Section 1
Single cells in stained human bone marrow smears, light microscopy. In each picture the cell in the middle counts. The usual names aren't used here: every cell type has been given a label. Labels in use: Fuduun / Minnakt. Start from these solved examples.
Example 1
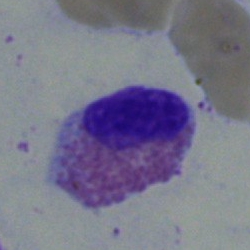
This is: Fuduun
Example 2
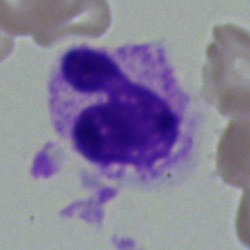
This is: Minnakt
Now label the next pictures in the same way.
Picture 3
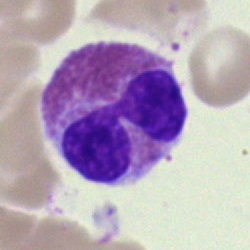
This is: Fuduun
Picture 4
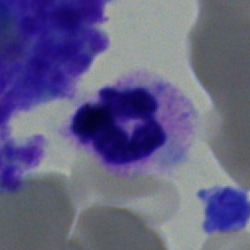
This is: Minnakt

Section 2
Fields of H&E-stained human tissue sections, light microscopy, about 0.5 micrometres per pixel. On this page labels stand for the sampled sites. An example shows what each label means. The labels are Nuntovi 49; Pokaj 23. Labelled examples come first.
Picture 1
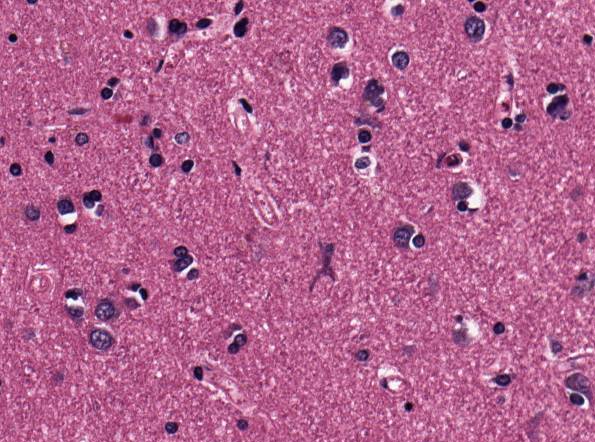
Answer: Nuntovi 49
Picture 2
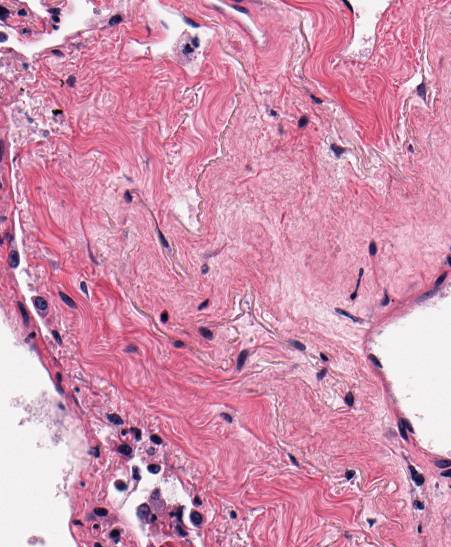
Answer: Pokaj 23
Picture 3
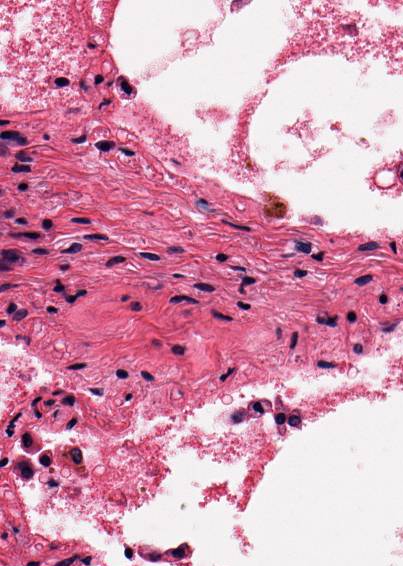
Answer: Pokaj 23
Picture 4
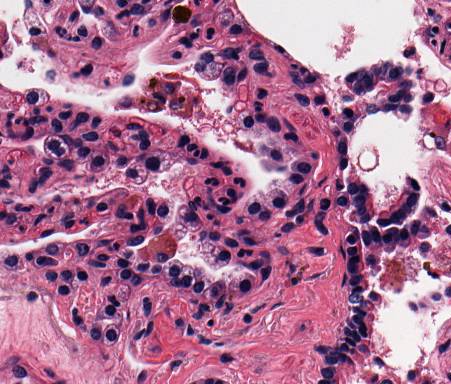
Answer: Pokaj 23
